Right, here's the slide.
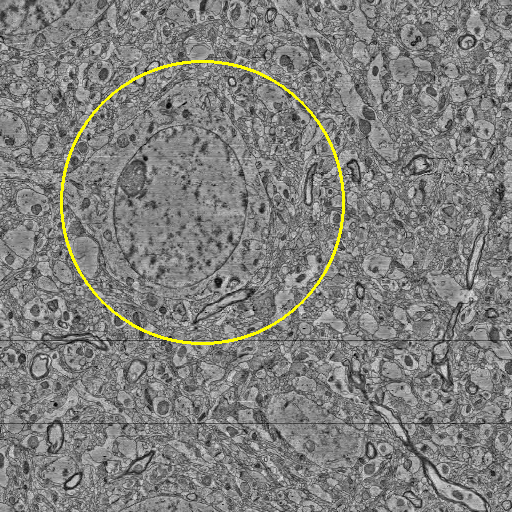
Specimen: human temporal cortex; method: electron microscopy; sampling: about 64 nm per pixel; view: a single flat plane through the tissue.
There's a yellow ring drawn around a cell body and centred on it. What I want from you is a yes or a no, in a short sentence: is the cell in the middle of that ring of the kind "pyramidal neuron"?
Yes, it's of that kind.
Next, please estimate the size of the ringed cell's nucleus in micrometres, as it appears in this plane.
In this plane, approximately 11 by 9 micrometers.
